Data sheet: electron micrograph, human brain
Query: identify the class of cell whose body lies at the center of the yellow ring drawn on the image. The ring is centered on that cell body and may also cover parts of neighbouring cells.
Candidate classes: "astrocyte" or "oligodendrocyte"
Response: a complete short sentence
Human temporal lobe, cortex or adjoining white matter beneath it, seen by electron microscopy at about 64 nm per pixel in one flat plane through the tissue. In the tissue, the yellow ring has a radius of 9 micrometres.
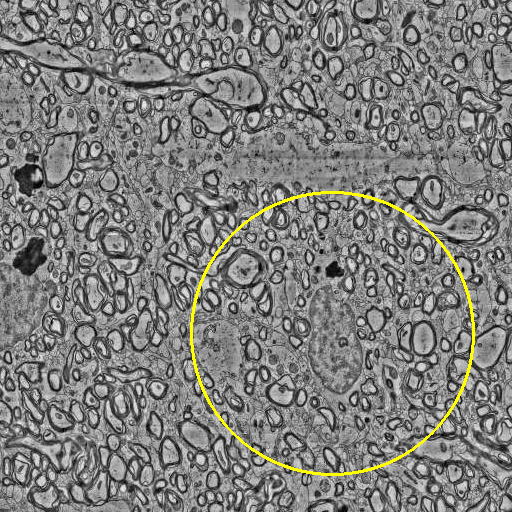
At the center of the ring lies an oligodendrocyte.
